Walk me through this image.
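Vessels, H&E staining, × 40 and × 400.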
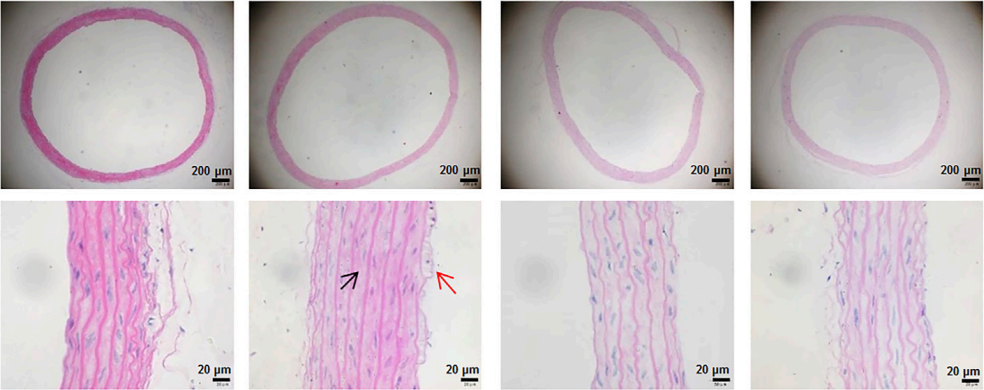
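At high power the wall consists of several wavy, pink, parallel layers running along its length. Elongated, blue-purple nuclei of smooth muscle cells lie between these wavy layers. On one side of the wall a looser, more wispy tissue is seen.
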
